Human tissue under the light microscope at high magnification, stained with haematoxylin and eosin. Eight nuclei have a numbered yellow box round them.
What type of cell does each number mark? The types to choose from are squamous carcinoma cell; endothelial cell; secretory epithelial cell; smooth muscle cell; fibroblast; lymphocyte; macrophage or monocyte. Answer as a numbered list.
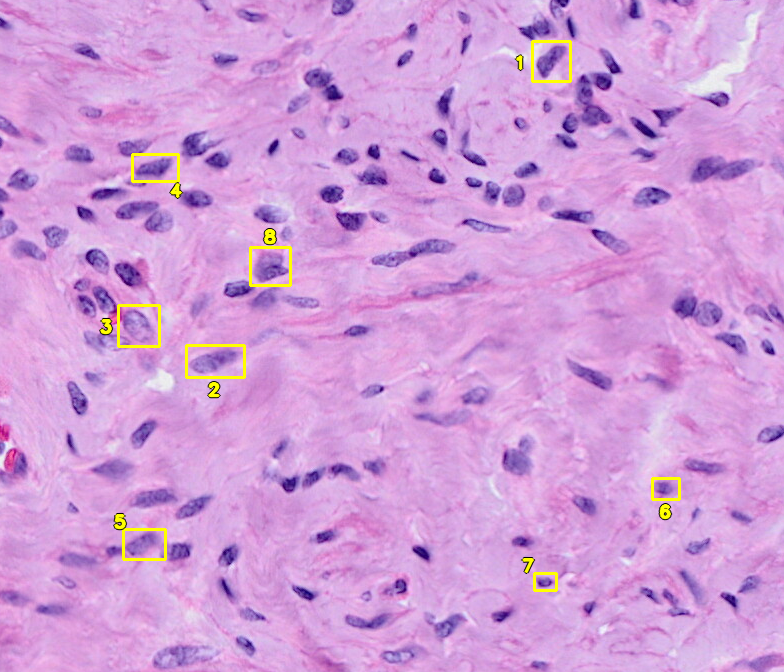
1. fibroblast
2. fibroblast
3. endothelial cell
4. fibroblast
5. smooth muscle cell
6. smooth muscle cell
7. fibroblast
8. fibroblast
